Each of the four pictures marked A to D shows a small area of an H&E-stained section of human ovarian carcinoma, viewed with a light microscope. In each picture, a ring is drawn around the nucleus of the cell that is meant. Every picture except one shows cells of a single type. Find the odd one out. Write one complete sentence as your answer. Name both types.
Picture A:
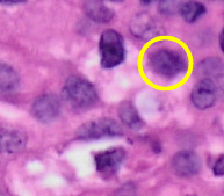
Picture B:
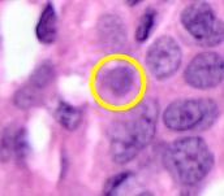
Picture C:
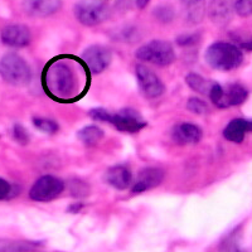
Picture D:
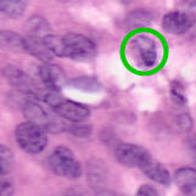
The others show carcinoma cells, but picture D shows a “macrophage or monocyte”.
